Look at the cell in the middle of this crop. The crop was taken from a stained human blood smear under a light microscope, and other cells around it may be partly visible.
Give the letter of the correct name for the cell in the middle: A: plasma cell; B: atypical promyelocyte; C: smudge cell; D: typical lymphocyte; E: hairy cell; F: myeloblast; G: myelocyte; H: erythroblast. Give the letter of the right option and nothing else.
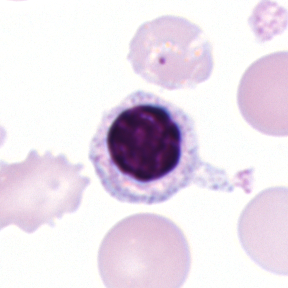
H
